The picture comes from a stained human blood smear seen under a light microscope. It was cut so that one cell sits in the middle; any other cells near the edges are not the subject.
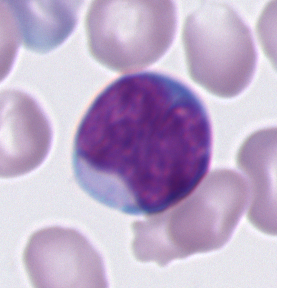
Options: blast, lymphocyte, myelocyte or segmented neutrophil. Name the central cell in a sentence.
Among the cells in view, the one in the middle is a blast.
